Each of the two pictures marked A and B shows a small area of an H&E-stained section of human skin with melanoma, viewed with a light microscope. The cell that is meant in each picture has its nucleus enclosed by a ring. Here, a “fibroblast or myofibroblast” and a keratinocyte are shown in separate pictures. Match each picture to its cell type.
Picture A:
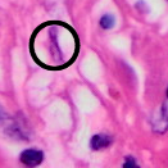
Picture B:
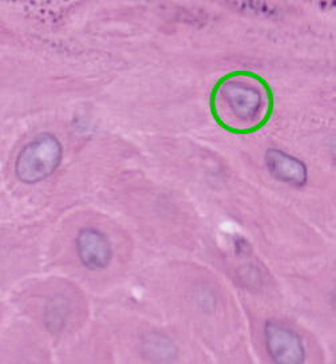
A: fibroblast or myofibroblast
B: keratinocyte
